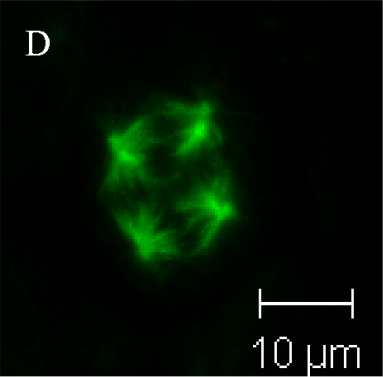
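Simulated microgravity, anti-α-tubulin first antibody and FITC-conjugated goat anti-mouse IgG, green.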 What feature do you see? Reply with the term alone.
Four polar spindles.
